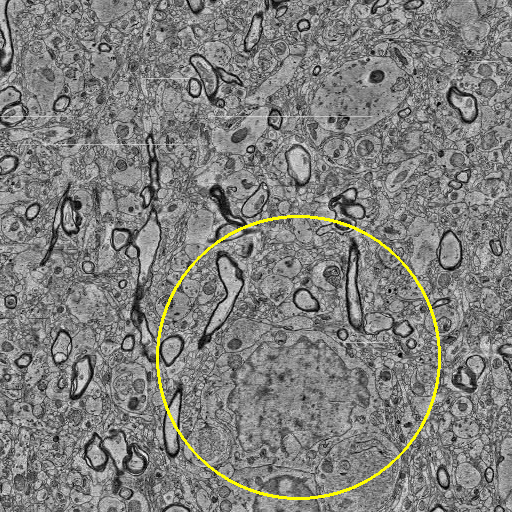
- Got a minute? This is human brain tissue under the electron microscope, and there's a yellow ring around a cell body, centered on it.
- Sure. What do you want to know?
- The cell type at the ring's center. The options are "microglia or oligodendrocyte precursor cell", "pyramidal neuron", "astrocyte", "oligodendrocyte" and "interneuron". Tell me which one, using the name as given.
interneuron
